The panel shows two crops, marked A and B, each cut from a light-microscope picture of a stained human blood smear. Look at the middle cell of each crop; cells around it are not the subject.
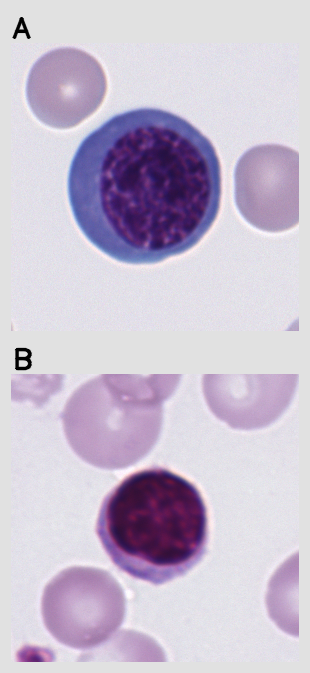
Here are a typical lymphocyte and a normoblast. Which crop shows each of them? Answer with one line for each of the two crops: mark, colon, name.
A: normoblast
B: typical lymphocyte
